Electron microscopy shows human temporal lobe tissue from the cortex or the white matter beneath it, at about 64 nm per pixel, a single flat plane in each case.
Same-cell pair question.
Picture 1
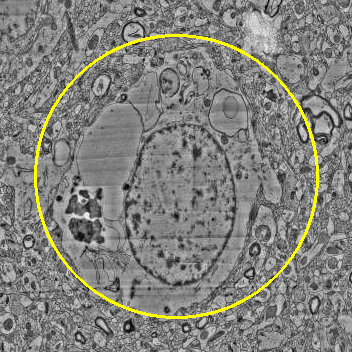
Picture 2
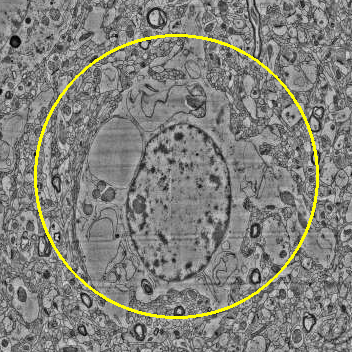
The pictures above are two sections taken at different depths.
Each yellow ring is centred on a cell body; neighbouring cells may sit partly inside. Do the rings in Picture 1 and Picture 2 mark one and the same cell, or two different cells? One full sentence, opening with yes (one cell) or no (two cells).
Yes, each ring singles out the same cell.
